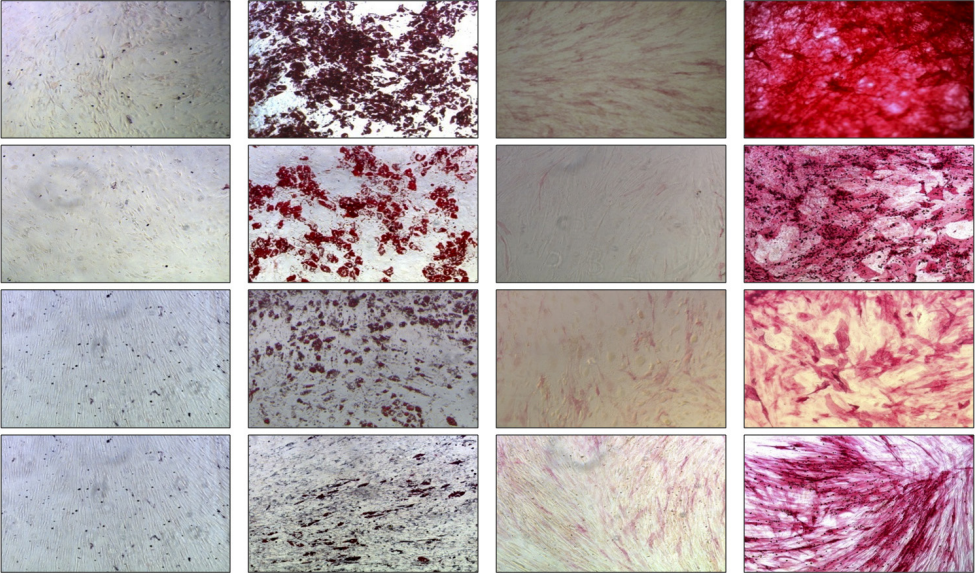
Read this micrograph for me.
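In the first and third columns the cells lie as a pale, closely packed monolayer of elongated, fibroblast-like cells with little or only faint pink colour. In the second column many cells hold clusters of small rounded droplets stained red to dark red, in places forming dense patches across the field. In the fourth column the cell layer is stained a strong pink to red, at the bottom in long parallel streams of spindle-shaped cells.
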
